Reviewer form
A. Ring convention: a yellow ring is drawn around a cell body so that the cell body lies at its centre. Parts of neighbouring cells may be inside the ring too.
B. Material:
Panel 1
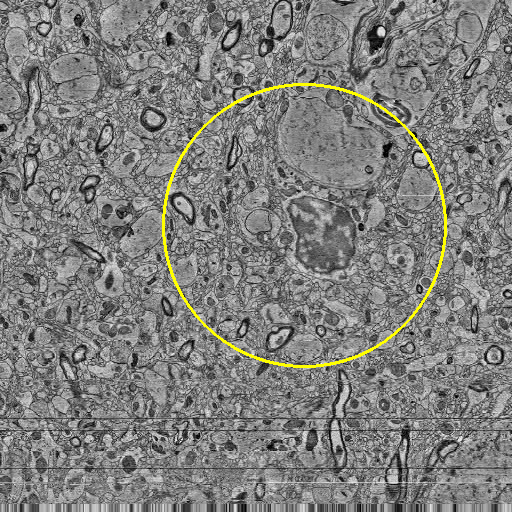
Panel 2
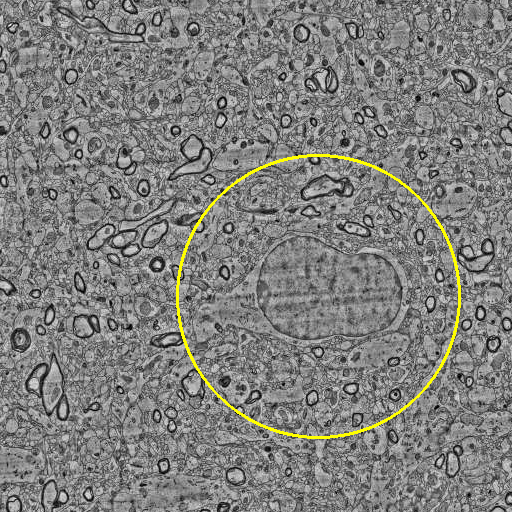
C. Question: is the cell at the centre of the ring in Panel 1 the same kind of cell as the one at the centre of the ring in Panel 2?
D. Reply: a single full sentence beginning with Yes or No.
Yes, the cells in Panel 1 and Panel 2 are the same kind of cell.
